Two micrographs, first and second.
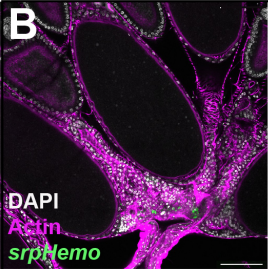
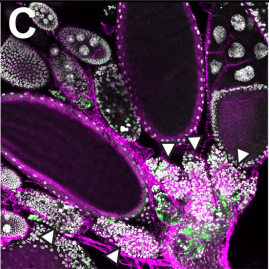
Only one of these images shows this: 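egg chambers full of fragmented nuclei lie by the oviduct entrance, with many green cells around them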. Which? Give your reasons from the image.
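Second image: several egg chambers packed with bright fragmented nuclear material, with green cells scattered among them. First image: large oval egg chambers with an intact follicle cell layer and only a small green cluster near the oviduct entrance. So: the second image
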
